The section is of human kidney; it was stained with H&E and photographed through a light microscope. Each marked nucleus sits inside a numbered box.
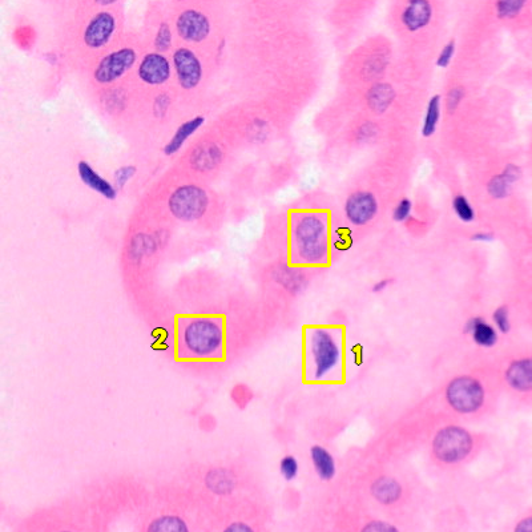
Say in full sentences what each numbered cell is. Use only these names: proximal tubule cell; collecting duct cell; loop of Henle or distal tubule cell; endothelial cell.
Cell 1 is an endothelial cell. Cells 2 and 3 are proximal tubule cells.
